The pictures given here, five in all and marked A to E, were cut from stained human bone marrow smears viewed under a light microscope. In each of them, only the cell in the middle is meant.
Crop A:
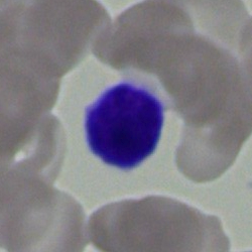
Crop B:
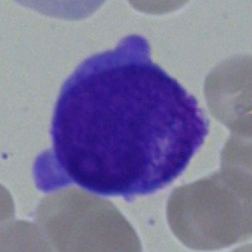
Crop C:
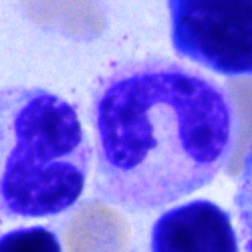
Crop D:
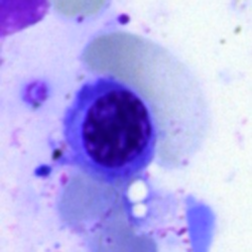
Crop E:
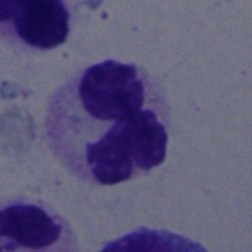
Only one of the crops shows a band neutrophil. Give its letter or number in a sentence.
Crop C is where a band neutrophil is to be found.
